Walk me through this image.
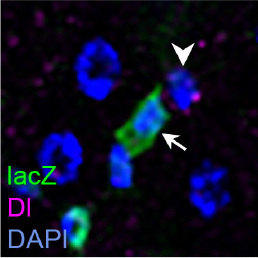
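A close-up of gut epithelium shows several large, round to oval blue nuclei with coarse chromatin belonging to absorptive cells, among which sit a few small cells. One small cell with an elongated nucleus is wrapped in green cytoplasm, and right beside it lies another small nucleus carrying bright magenta dots at its edge. The small cells form a pair squeezed between the large nuclei.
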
